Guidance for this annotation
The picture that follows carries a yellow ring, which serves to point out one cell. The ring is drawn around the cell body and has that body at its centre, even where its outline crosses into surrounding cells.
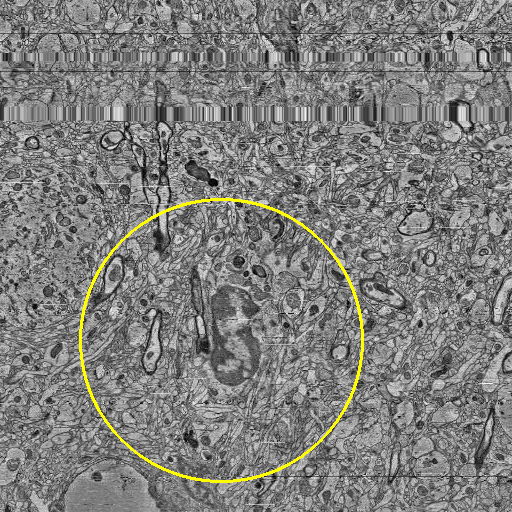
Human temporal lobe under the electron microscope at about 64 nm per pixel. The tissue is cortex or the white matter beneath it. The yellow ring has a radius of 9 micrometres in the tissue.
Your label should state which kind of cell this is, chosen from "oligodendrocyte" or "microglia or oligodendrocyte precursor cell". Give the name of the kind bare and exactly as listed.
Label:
microglia or oligodendrocyte precursor cell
